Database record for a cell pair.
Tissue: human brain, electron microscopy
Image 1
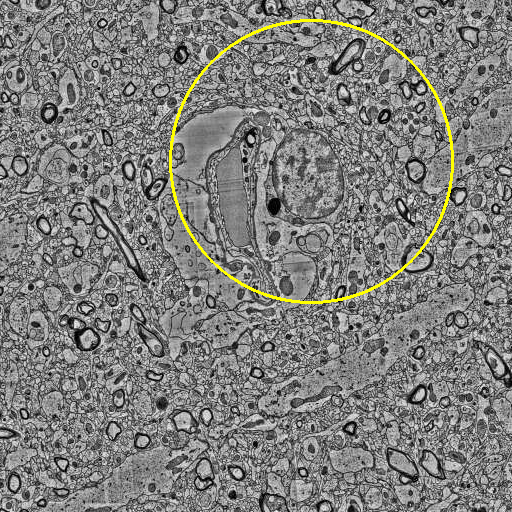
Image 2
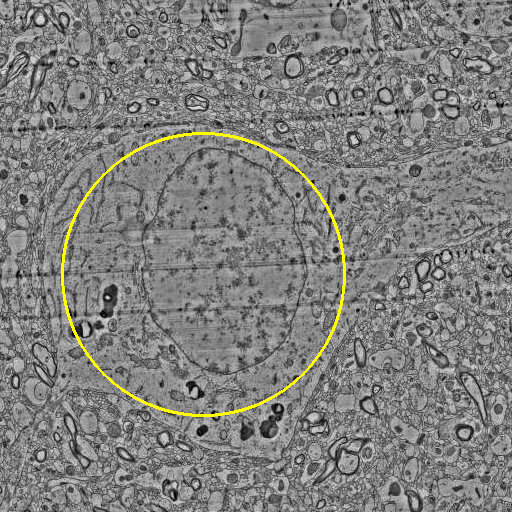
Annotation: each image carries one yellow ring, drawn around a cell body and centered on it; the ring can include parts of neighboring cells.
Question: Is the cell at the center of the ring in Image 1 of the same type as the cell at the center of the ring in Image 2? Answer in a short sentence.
No, the cells are of two types.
